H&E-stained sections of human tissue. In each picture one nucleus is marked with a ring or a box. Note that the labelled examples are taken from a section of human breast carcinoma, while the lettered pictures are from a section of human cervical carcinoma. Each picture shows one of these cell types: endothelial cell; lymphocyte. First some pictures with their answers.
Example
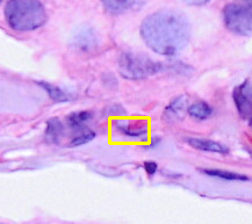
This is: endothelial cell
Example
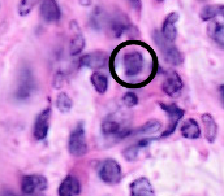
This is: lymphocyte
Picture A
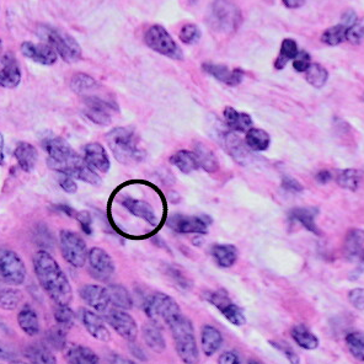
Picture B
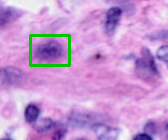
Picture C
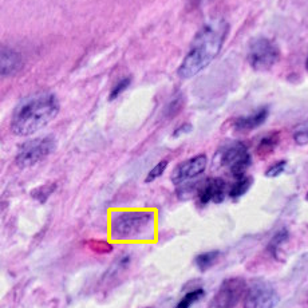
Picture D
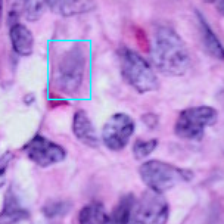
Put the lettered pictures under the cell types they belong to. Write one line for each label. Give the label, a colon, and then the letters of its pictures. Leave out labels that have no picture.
endothelial cell: B, C, D
lymphocyte: A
